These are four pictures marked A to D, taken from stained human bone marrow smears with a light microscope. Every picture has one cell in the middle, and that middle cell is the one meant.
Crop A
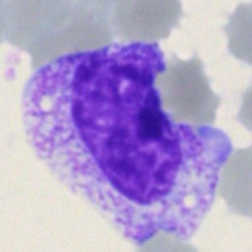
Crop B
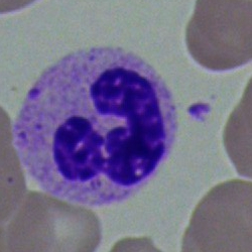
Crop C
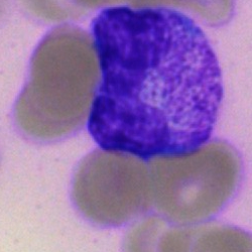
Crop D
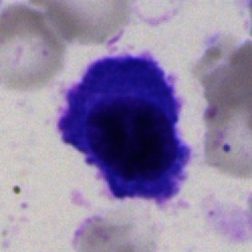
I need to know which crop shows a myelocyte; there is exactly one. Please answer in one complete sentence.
The one crop in the set with a myelocyte is crop A.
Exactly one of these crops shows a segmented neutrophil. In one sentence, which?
Crop B is the crop that shows a segmented neutrophil in its middle.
